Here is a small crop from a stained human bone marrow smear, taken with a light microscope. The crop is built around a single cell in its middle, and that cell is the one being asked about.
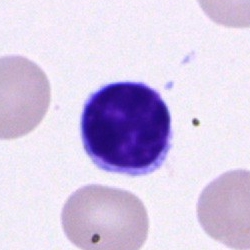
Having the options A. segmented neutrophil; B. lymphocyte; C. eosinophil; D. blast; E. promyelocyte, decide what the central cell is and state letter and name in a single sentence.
The centrally located cell is a lymphocyte, making option B the correct choice.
